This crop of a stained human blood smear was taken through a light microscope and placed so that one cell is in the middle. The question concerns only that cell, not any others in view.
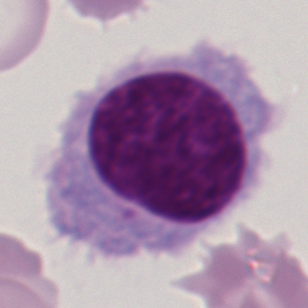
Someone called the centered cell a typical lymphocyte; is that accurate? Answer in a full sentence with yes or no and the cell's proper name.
No, this one is a hairy cell; it is not a typical lymphocyte.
